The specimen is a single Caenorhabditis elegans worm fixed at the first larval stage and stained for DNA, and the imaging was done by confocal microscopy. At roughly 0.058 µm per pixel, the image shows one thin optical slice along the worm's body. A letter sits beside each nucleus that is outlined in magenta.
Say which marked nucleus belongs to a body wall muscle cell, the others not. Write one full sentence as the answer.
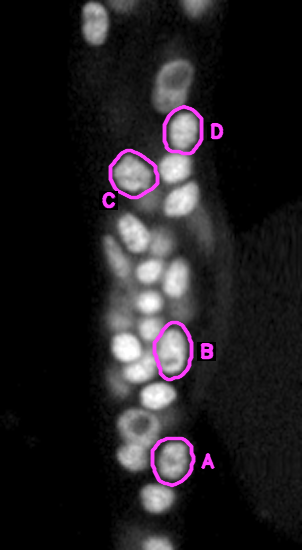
Of the marked nuclei, B is the one in a body wall muscle cell.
